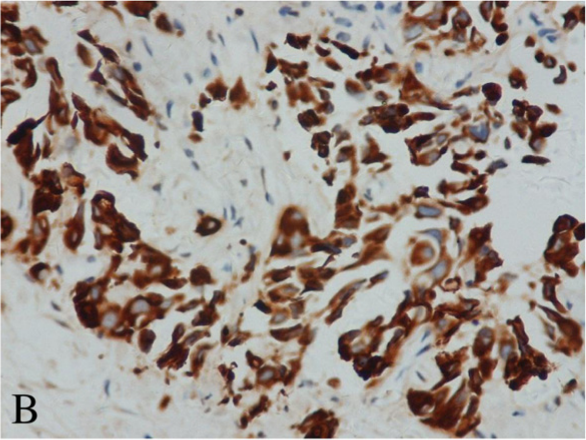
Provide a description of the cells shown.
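The cytoplasm of the tumor cells is stained an intense brown, so the cell groups stand out sharply. Between the nests lies a pale, loose fibrous stroma. The tumor cells are crowded and vary in shape, from rounded to elongated. No ordinary glands with open lumens are seen.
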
